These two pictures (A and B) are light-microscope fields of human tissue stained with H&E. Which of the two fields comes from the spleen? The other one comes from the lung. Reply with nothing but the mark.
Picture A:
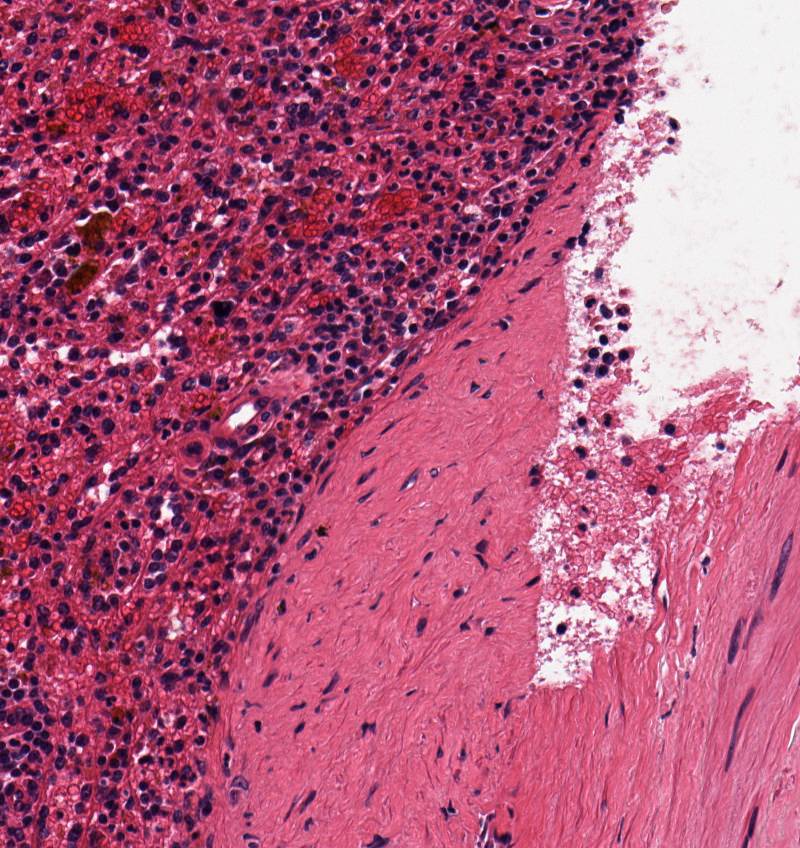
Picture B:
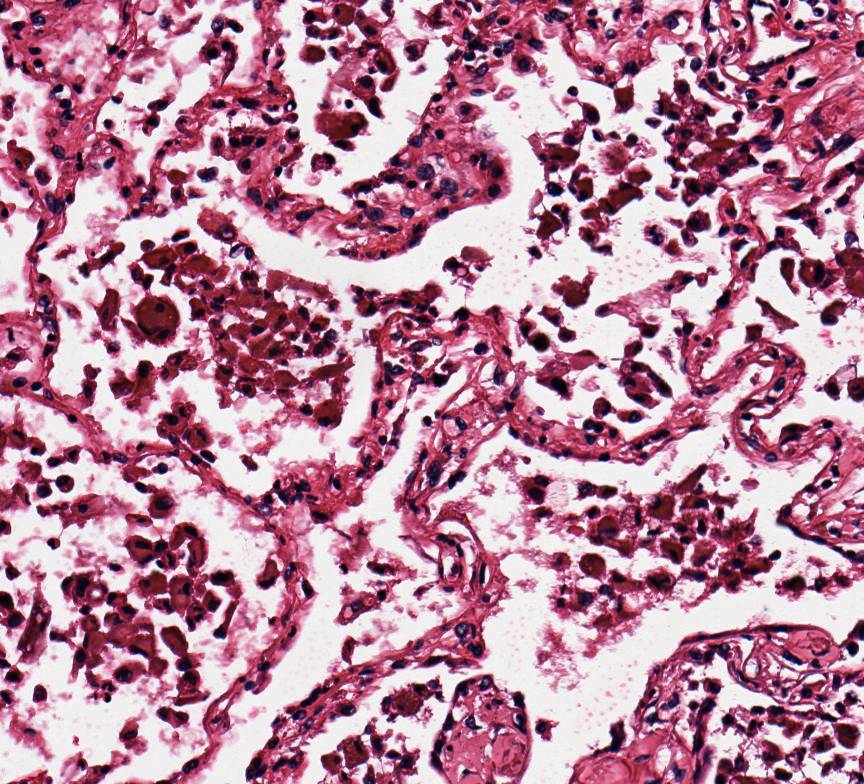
A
